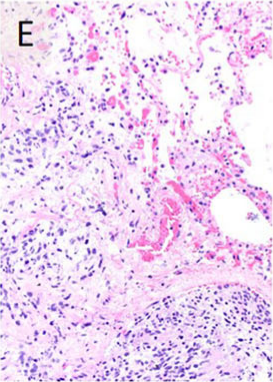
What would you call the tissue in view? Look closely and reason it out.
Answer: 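Lung tissue. Thin-walled airspaces containing red blood cells occupy the upper part. A dense cluster of dark-nucleated cells lies at the lower part.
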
